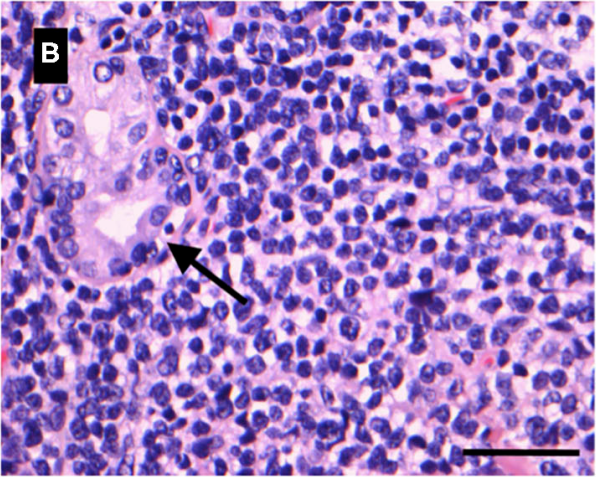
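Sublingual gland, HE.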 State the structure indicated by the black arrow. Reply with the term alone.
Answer: Ductal structures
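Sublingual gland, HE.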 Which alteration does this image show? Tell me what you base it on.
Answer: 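Sheets of densely packed small cells with dark round nuclei fill most of the field. Only a small group of glandular cells with pale cytoplasm remains at the upper left.
Hence: infiltrated by lymphoid tumor tissue.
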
